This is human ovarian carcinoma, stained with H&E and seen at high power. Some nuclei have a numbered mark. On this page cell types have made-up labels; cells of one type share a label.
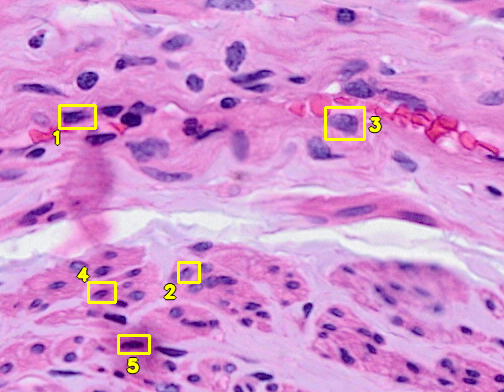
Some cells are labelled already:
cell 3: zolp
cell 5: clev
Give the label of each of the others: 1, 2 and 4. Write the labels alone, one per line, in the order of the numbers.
zolp
clev
clev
